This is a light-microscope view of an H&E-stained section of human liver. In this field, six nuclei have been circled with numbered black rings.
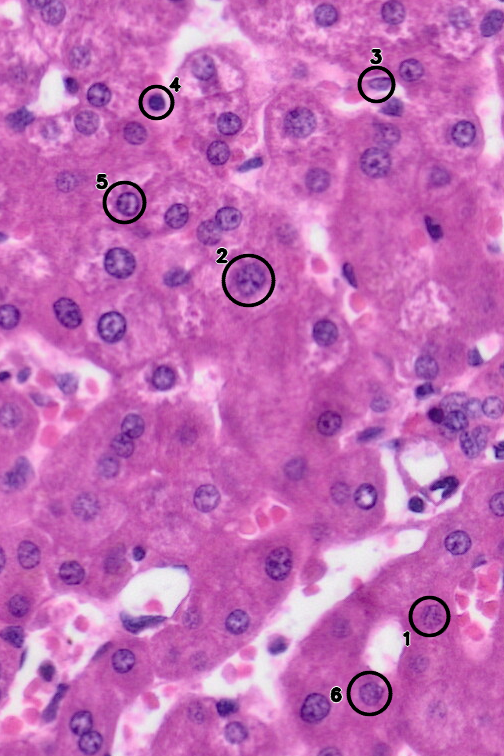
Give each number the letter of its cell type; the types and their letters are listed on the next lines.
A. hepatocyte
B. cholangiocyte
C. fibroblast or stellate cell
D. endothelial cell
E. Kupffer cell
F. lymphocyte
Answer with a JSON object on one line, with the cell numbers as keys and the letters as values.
{"1": "A", "2": "A", "3": "E", "4": "F", "5": "A", "6": "A"}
